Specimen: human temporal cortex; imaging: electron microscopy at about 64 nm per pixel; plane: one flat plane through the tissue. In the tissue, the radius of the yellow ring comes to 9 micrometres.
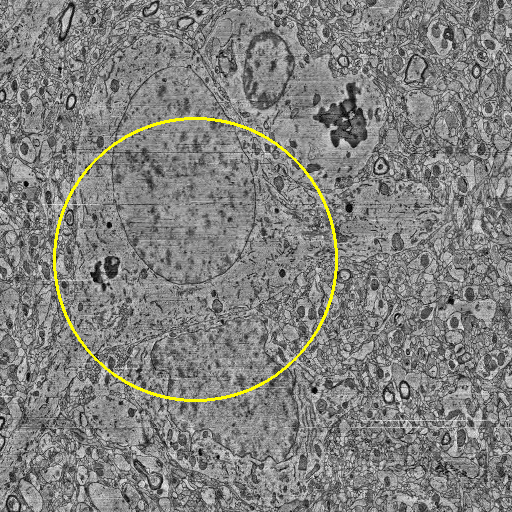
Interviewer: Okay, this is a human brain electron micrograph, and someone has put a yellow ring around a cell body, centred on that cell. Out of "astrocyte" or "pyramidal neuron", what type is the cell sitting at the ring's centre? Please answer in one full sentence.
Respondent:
The cell at the centre of the yellow ring in this picture is a pyramidal neuron.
